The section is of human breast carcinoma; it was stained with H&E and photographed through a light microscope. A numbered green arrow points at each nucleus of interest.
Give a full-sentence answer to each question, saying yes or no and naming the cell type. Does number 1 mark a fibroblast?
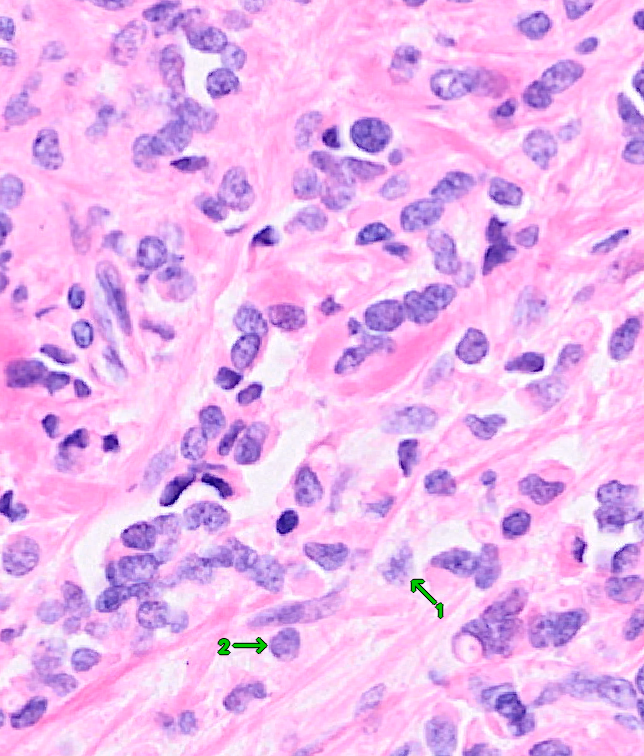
Yes, the cell with its nucleus marked 1 is a fibroblast.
